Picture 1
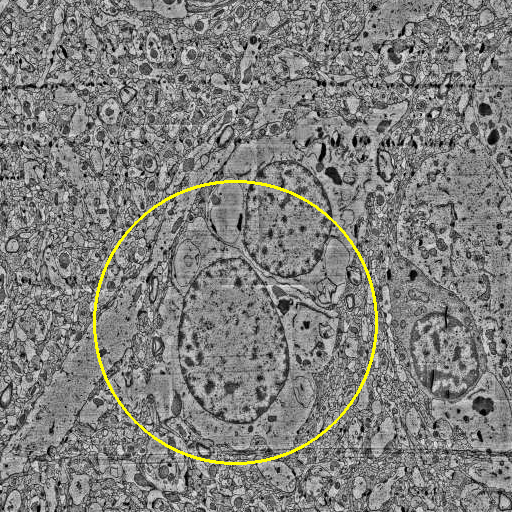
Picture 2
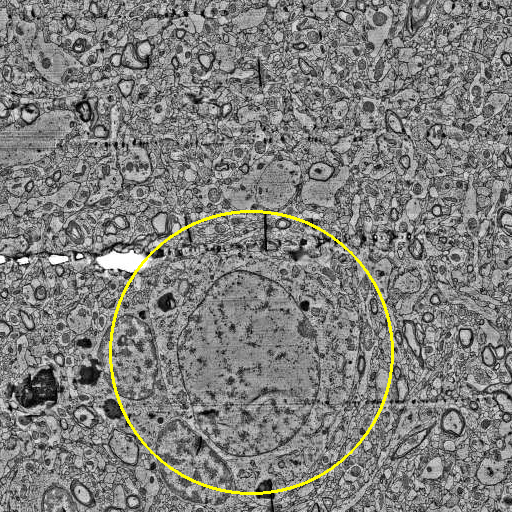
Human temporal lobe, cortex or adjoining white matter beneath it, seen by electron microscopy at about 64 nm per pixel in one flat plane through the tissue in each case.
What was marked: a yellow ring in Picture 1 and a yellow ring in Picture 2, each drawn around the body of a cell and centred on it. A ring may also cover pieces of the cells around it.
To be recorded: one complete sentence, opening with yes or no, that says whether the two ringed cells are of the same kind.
No, the two ringed cells are of two kinds.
